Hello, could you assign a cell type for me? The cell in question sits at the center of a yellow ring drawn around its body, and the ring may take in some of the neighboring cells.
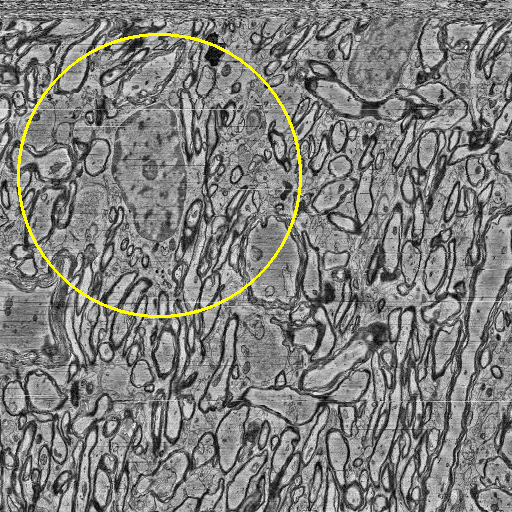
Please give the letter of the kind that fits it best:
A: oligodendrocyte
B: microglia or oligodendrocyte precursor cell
B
